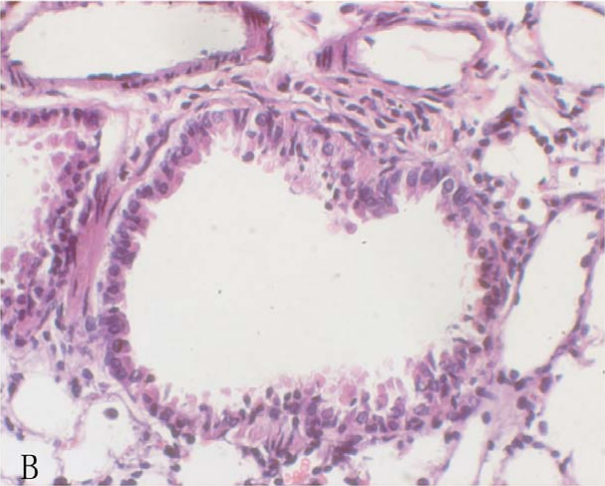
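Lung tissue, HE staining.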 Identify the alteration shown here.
epithelial damage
